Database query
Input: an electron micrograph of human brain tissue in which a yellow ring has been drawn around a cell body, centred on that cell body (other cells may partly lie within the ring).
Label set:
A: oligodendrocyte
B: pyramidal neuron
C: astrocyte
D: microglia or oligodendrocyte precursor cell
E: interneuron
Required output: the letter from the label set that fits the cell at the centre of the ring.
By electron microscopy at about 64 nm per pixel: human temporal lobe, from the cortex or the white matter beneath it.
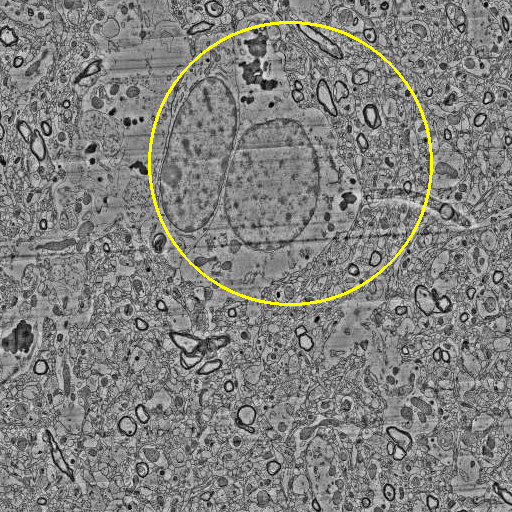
C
